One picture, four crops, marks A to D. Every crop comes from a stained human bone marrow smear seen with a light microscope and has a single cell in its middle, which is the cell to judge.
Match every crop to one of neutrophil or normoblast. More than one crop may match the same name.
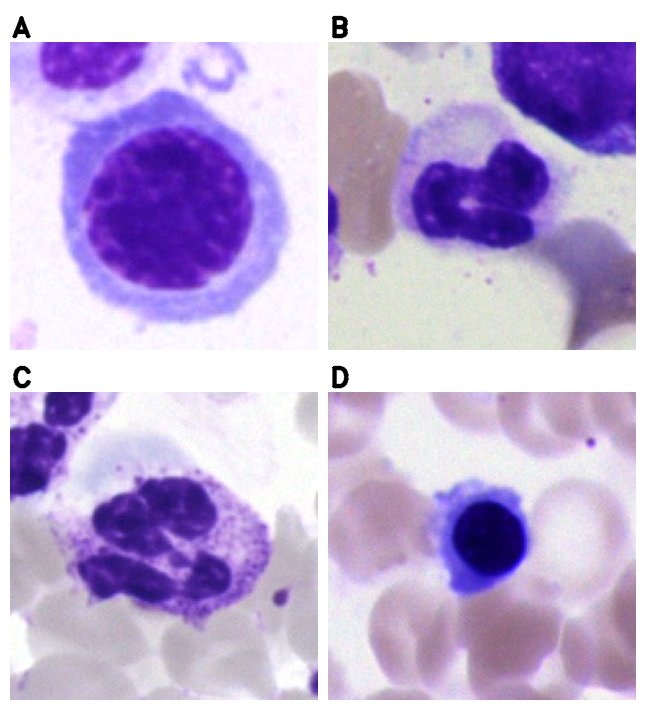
A: normoblast
B: neutrophil
C: neutrophil
D: normoblast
